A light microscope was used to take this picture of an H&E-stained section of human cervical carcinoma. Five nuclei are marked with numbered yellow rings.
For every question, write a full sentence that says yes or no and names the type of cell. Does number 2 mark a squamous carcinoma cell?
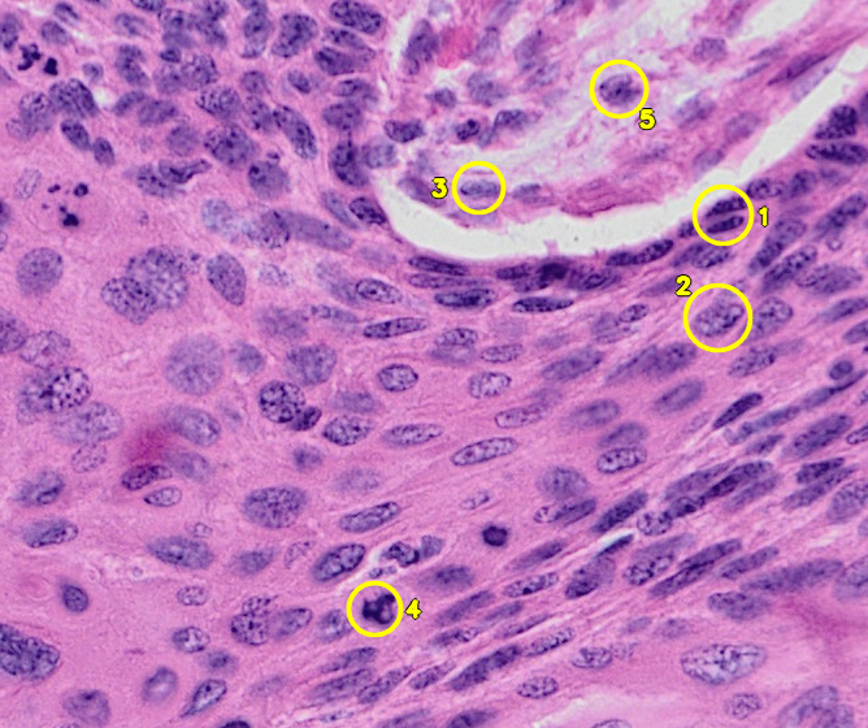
Yes, looking at number 2, that cell is a squamous carcinoma cell.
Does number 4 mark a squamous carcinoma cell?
Yes, cell number 4 in this section is a squamous carcinoma cell.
